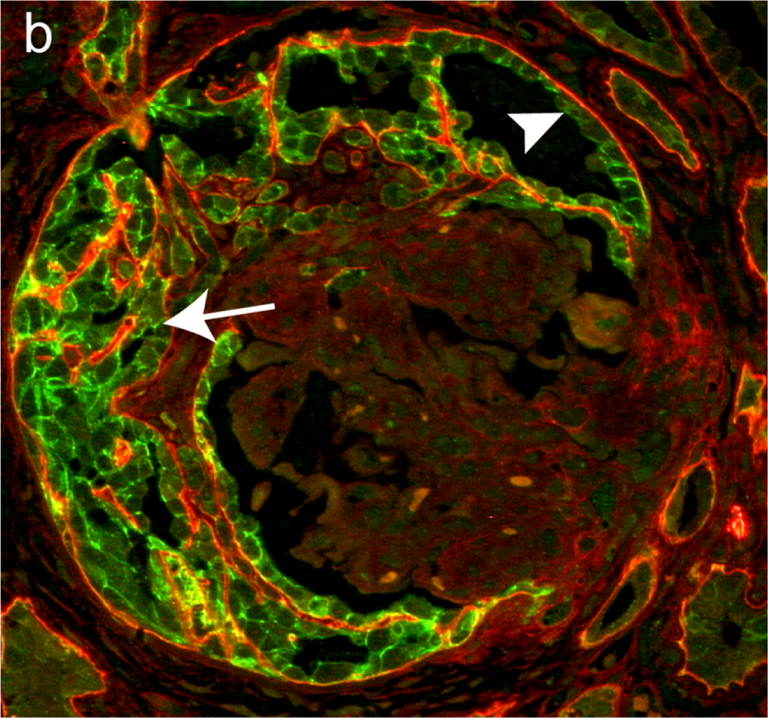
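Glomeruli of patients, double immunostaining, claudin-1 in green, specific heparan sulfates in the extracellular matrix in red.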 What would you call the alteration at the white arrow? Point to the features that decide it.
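Many layers of green-outlined cells fill a broad band between the capsule and the tuft. Red strands run between the piled-up cells.
Answer: marked hyperplasia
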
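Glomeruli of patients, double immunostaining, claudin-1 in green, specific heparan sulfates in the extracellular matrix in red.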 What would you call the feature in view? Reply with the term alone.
Extracapillary proliferative lesions.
